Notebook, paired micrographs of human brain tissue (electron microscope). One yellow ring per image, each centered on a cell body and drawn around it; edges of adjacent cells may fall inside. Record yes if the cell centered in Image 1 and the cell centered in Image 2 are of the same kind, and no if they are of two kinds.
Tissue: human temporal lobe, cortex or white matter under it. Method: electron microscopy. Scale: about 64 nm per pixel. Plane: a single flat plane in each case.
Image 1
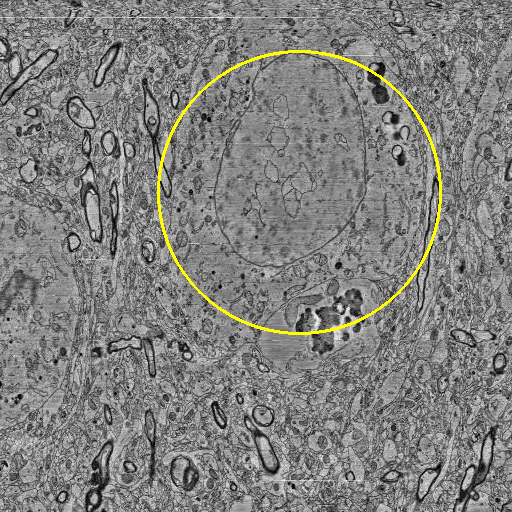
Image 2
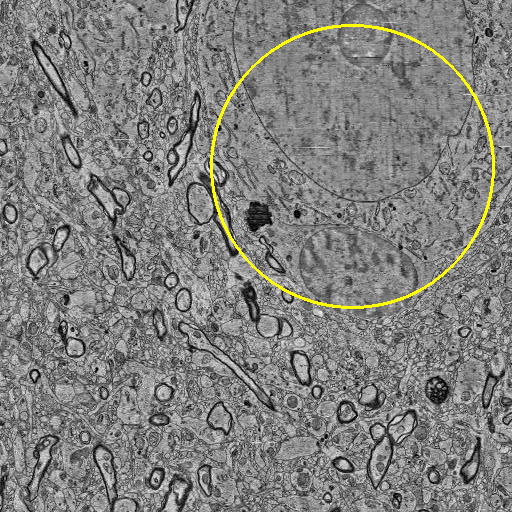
yes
